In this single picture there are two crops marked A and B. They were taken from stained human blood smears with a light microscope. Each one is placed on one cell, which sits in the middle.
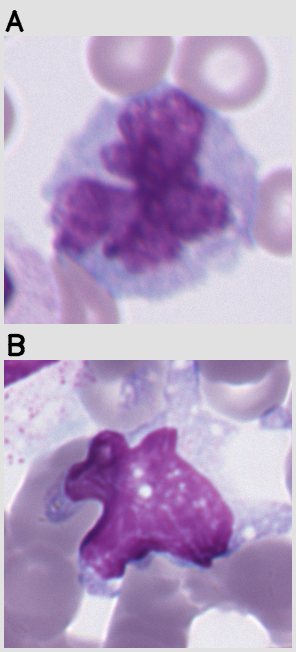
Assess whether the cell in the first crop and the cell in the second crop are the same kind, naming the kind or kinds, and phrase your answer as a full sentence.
Yes, the cells at the centres of the two crops are monocytes.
